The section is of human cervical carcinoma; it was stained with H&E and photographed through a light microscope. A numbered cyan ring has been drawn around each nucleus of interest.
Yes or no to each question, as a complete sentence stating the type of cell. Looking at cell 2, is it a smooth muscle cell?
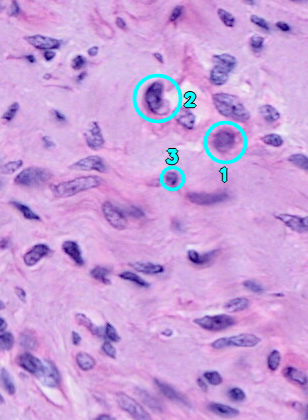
No, the cell carrying number 2 is an endothelial cell rather than a smooth muscle cell.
